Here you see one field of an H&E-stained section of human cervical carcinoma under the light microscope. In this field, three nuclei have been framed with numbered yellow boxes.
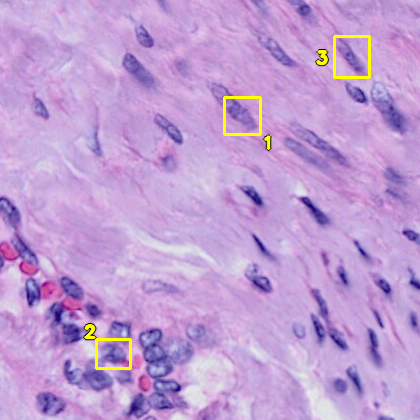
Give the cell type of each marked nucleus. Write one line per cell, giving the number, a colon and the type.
1: smooth muscle cell
2: endothelial cell
3: smooth muscle cell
